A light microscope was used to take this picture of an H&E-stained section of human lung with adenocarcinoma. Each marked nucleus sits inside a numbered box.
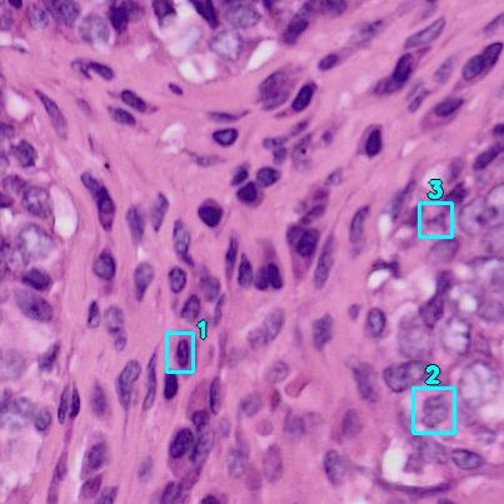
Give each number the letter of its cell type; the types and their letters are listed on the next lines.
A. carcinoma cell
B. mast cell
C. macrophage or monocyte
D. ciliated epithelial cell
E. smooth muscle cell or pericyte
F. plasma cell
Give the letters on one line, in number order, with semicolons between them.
F; D; D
